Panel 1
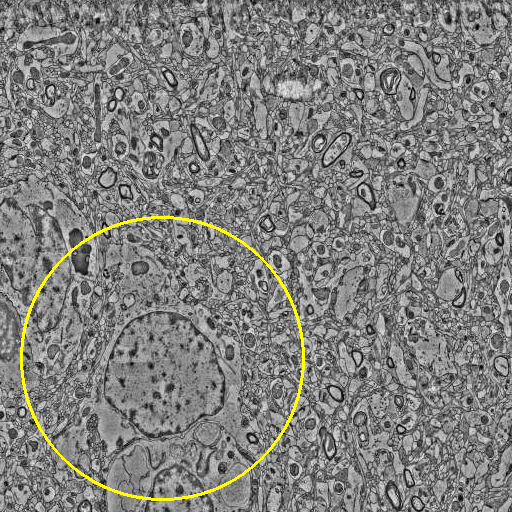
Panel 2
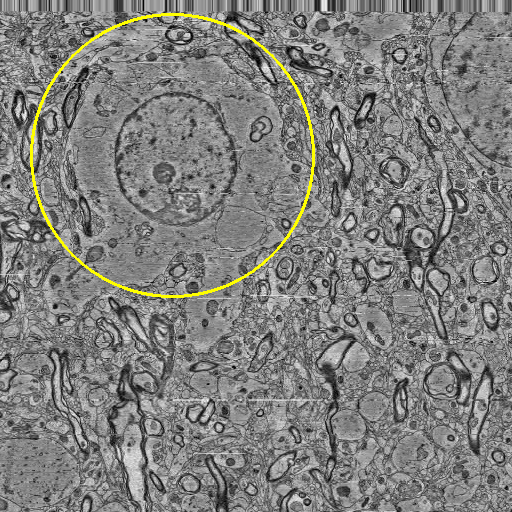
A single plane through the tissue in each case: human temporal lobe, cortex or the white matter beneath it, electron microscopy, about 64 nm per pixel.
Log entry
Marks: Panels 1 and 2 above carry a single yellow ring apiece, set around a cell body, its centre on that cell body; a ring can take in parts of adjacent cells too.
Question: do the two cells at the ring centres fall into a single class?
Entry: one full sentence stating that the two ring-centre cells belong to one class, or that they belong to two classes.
The two ring-centre cells in Panels 1 and 2 belong to one class.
